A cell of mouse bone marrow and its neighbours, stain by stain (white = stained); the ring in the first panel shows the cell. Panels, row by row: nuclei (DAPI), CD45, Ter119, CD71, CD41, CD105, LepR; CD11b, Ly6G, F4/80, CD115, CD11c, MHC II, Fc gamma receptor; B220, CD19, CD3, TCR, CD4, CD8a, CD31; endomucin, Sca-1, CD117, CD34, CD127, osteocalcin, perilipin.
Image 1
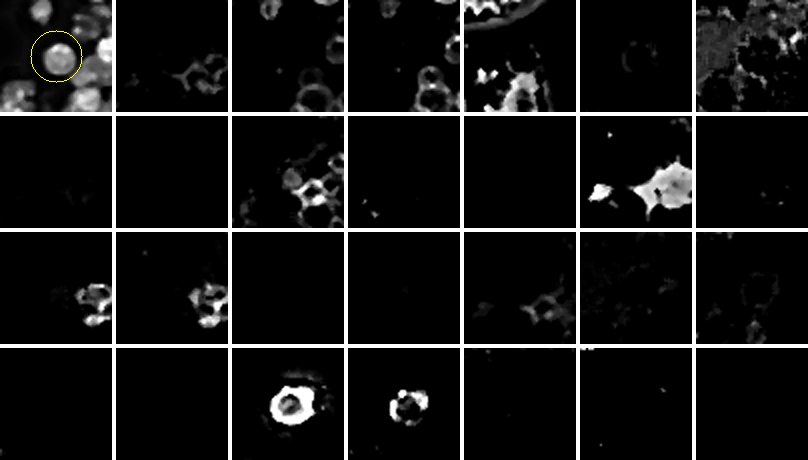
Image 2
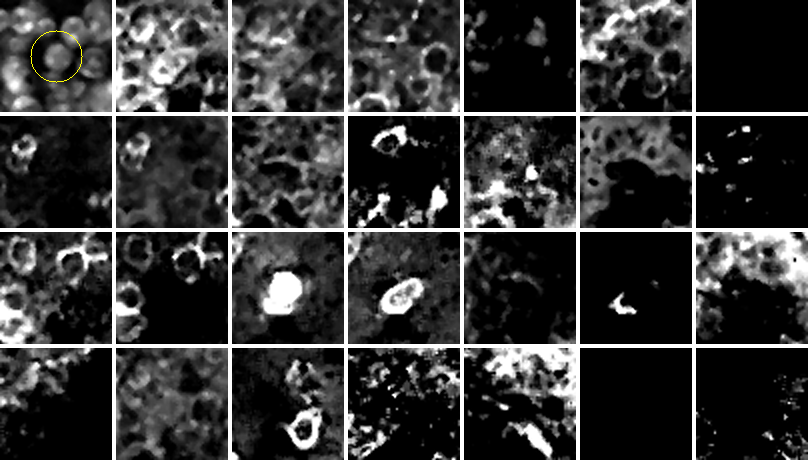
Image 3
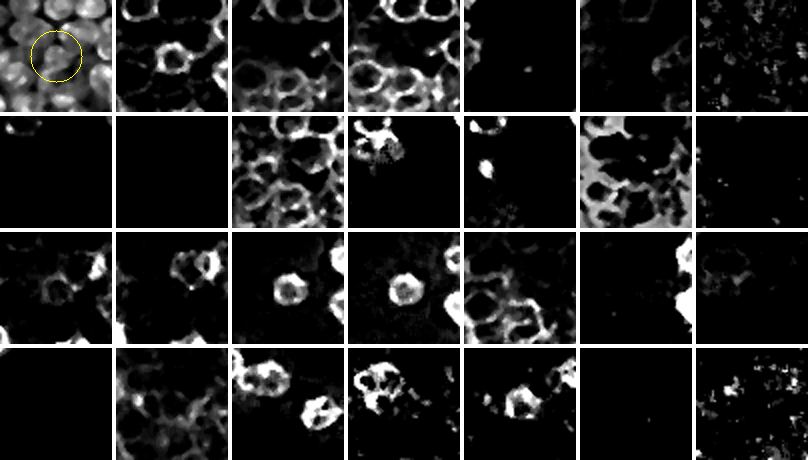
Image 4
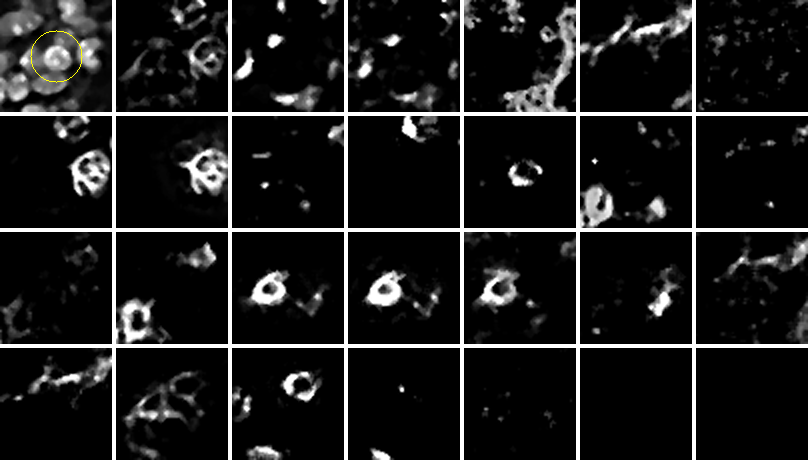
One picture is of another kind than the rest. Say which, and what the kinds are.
Picture 1 shows a common myeloid progenitor; the rest show double-negative T cells.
